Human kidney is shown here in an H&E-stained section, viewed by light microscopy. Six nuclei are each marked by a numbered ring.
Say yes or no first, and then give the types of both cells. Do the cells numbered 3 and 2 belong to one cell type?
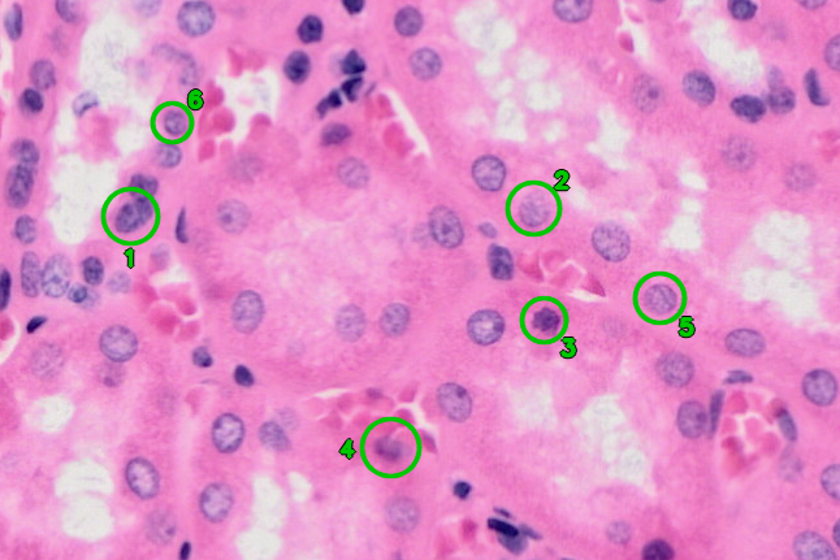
Yes, the two cells, 3 and 2, are both proximal tubule cells.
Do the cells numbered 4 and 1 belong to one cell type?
No, cell 4 is a proximal tubule cell, and cell 1 is a collecting duct cell.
